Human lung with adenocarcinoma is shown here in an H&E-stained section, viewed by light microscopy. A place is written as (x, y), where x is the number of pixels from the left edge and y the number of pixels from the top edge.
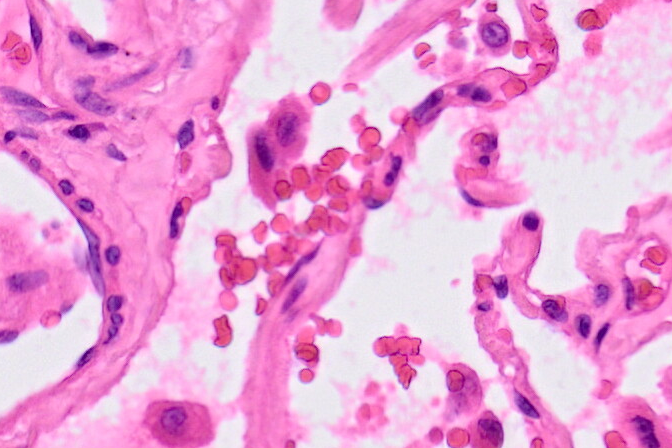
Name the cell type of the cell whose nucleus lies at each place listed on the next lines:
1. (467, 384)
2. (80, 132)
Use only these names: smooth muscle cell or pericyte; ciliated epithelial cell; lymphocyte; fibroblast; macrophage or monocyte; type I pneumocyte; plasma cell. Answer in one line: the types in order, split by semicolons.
macrophage or monocyte; plasma cell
